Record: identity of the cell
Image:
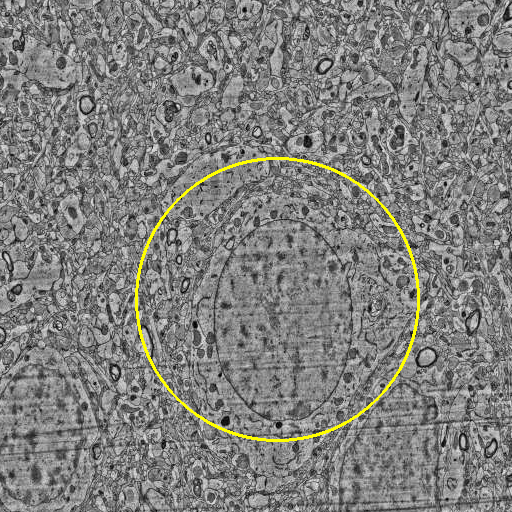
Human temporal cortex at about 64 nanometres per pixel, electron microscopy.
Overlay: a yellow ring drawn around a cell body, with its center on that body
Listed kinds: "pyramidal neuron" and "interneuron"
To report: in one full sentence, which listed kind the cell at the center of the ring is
In the image, the cell body at the ring's center belongs to a pyramidal neuron.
